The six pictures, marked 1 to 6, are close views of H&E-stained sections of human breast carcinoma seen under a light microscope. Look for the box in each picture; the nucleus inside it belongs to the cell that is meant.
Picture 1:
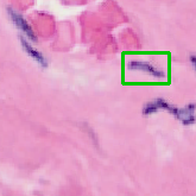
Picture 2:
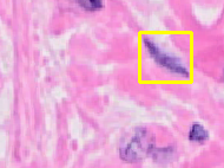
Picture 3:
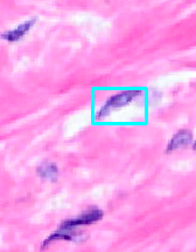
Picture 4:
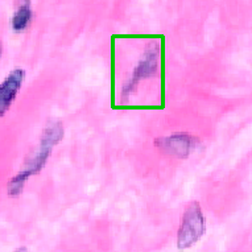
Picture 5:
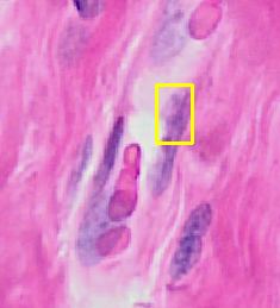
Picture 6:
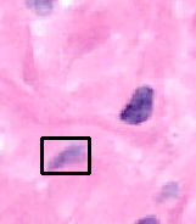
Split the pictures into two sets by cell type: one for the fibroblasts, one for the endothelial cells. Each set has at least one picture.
1: endothelial cell
2: fibroblast
3: fibroblast
4: fibroblast
5: endothelial cell
6: fibroblast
